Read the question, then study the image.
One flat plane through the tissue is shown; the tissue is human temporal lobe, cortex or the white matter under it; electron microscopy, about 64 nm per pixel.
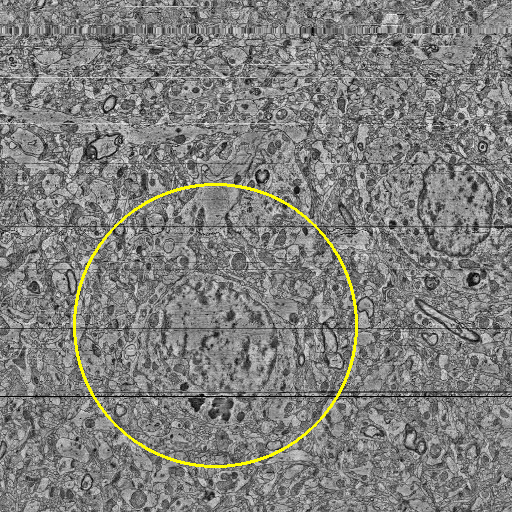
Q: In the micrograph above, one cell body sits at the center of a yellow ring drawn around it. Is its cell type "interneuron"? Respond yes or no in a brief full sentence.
Yes, its cell type is that one.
